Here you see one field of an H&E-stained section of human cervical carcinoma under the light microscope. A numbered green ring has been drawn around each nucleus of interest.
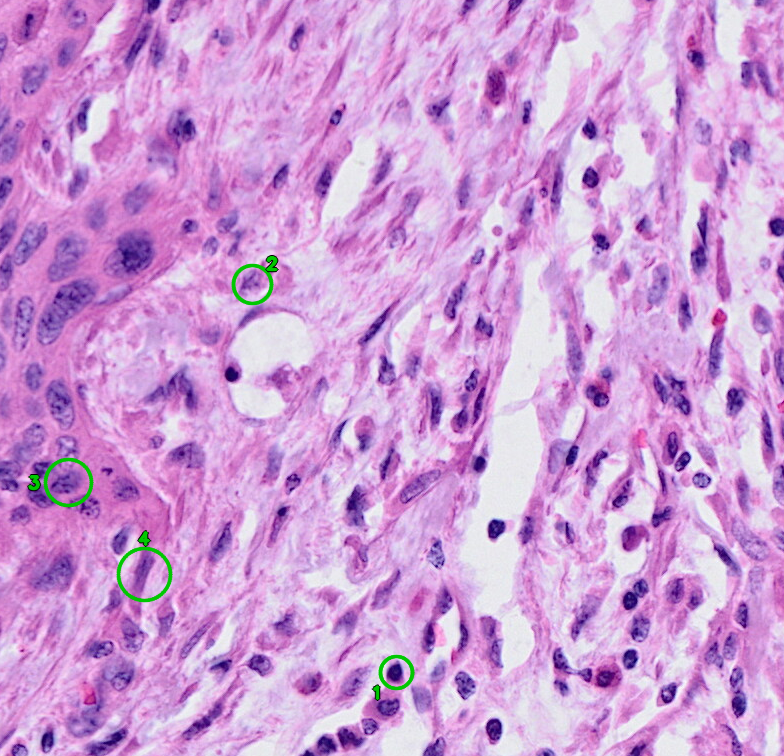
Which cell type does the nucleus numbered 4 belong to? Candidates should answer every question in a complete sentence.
The cell with the number 4 is a fibroblast.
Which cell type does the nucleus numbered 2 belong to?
Classified as a fibroblast is the cell with the number 2.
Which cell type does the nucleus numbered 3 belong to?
The cell with the number 3 is a squamous carcinoma cell.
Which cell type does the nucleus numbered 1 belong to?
The nucleus with number 1 is that of a lymphocyte.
